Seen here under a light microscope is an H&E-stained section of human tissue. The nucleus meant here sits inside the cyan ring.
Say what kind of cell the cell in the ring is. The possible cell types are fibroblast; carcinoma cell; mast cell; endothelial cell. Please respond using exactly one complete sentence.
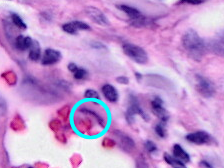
By its classification, the cell in the ring is an endothelial cell.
